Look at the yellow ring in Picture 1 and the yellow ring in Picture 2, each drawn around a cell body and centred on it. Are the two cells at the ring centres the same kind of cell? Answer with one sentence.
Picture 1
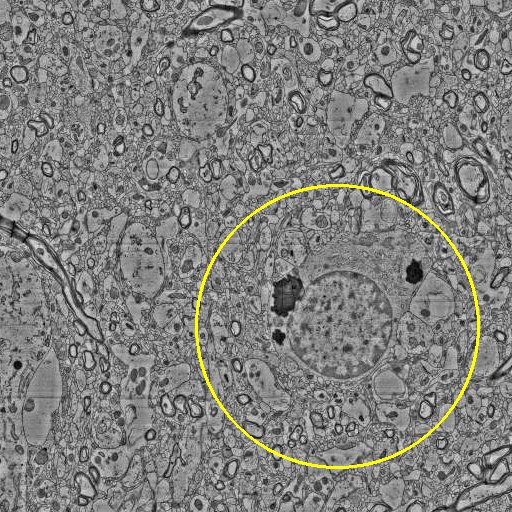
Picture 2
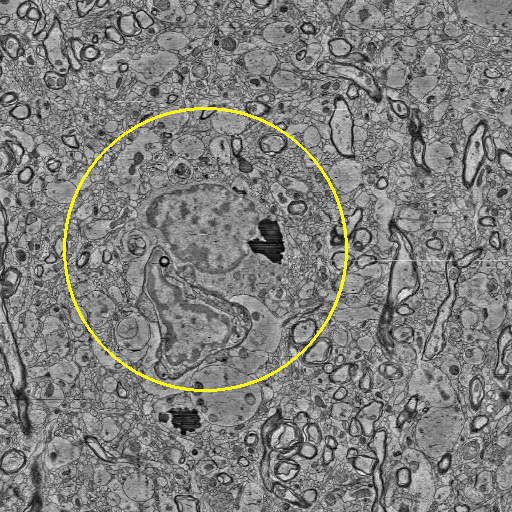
Yes, both are the same kind of cell.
